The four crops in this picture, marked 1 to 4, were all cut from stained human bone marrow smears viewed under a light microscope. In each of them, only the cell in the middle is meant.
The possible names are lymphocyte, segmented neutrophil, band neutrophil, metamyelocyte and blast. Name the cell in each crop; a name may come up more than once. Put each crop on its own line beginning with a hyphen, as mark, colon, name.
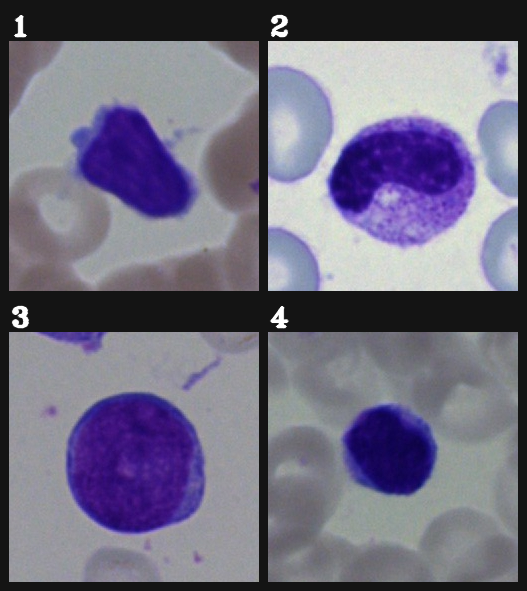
- 1: lymphocyte
- 2: band neutrophil
- 3: blast
- 4: lymphocyte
